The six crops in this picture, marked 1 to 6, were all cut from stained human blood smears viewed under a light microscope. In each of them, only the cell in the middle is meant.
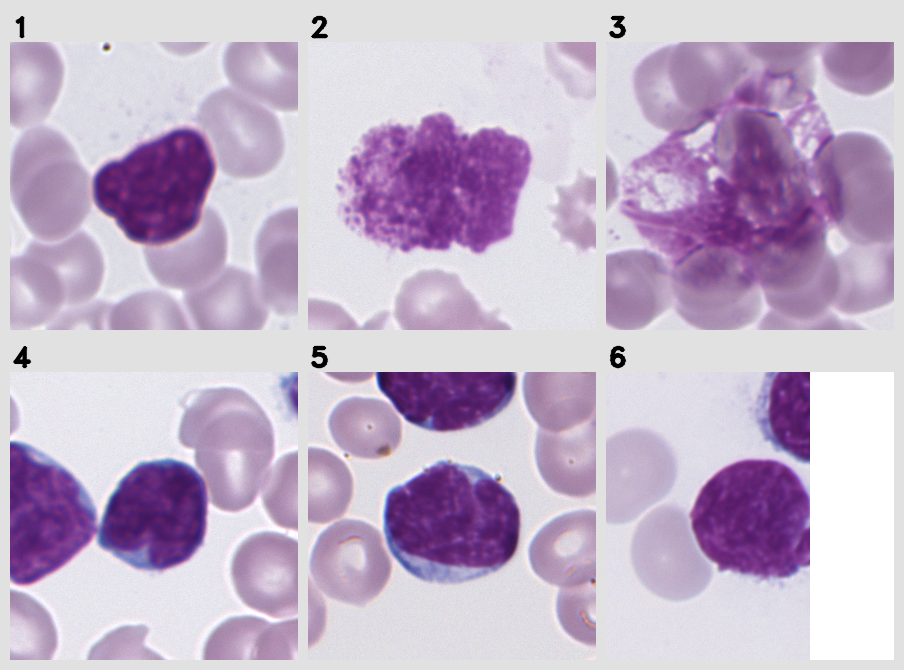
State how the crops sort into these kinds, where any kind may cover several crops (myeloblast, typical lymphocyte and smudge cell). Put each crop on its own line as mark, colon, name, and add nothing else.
1: smudge cell
2: smudge cell
3: smudge cell
4: myeloblast
5: typical lymphocyte
6: myeloblast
